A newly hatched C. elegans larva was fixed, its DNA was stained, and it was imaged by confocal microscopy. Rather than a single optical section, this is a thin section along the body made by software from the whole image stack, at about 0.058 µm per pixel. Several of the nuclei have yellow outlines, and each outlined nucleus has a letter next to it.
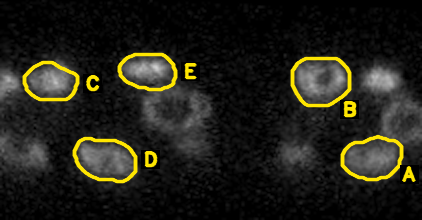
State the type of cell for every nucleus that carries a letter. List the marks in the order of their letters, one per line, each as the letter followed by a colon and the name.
A: P cell (ventral epidermal blast cell)
B: seam cell
C: body wall muscle cell
D: P cell (ventral epidermal blast cell)
E: P cell (ventral epidermal blast cell)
